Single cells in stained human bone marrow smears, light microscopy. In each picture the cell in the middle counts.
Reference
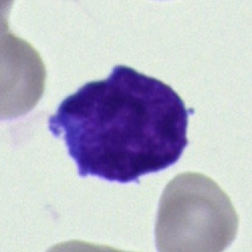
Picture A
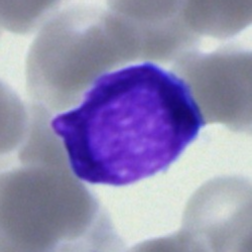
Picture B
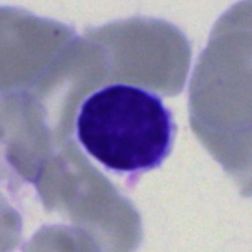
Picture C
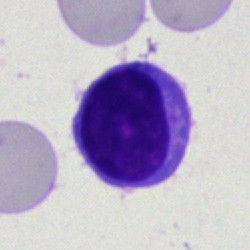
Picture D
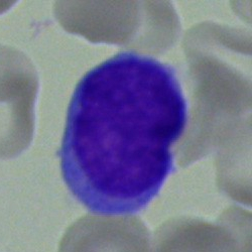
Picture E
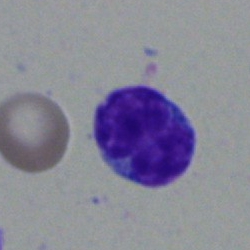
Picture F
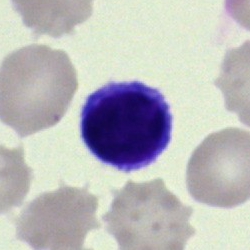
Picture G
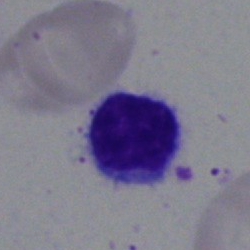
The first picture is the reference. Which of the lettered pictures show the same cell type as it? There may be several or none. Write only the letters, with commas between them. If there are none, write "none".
A, D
